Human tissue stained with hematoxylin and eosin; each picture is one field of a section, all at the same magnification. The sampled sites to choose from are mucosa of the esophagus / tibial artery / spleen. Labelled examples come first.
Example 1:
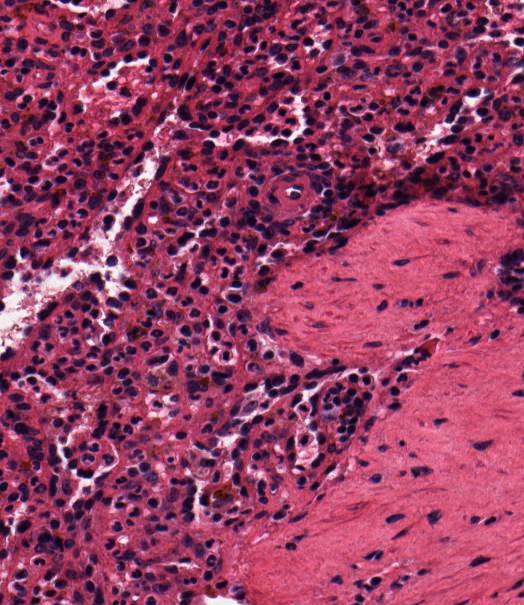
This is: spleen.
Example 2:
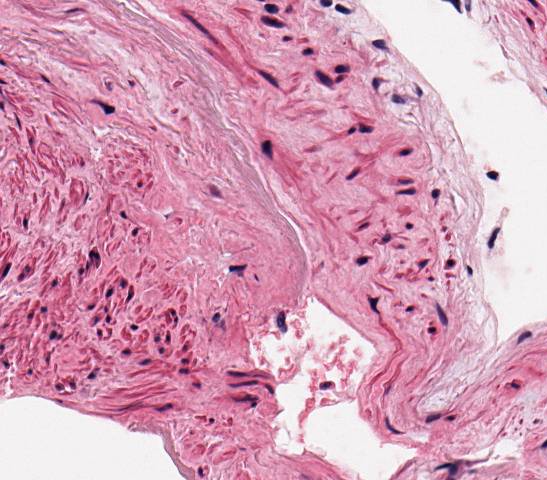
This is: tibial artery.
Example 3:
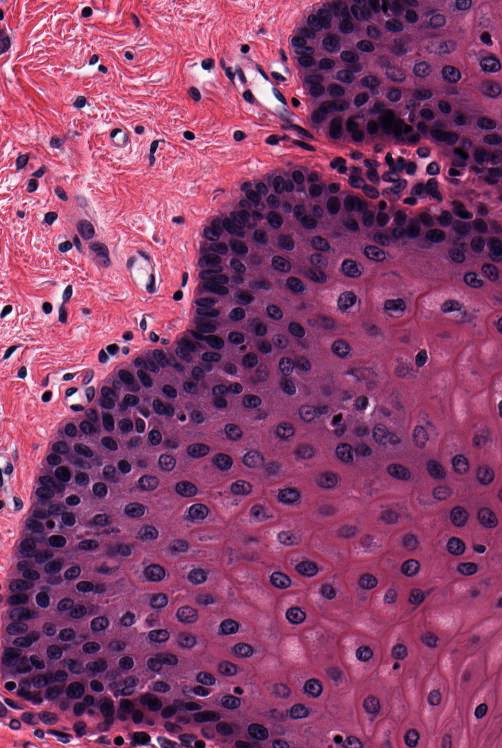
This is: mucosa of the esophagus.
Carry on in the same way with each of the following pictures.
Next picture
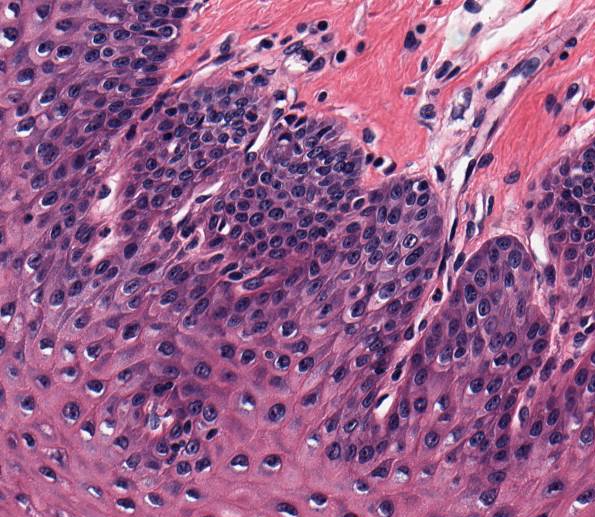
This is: mucosa of the esophagus.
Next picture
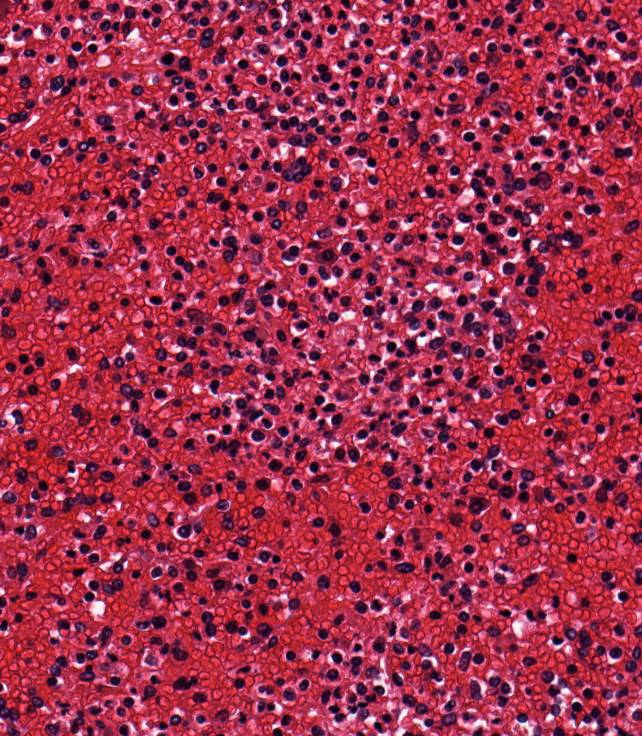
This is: spleen.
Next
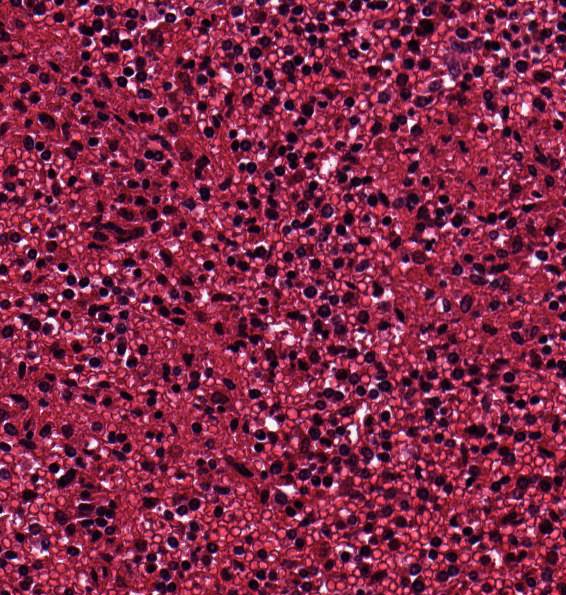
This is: spleen.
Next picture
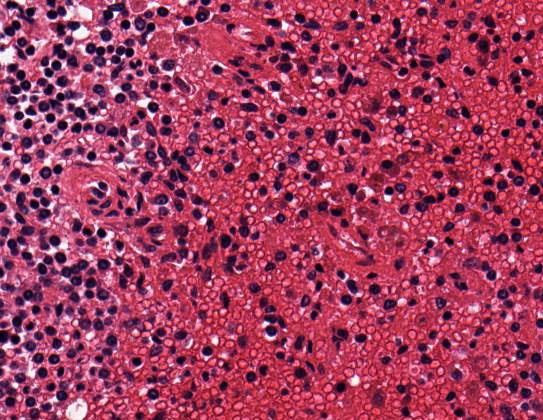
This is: spleen.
